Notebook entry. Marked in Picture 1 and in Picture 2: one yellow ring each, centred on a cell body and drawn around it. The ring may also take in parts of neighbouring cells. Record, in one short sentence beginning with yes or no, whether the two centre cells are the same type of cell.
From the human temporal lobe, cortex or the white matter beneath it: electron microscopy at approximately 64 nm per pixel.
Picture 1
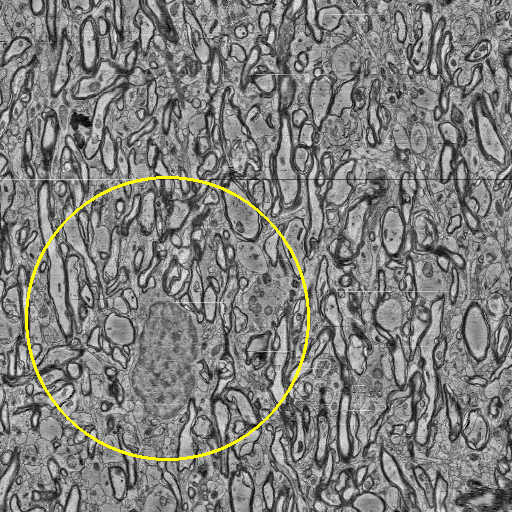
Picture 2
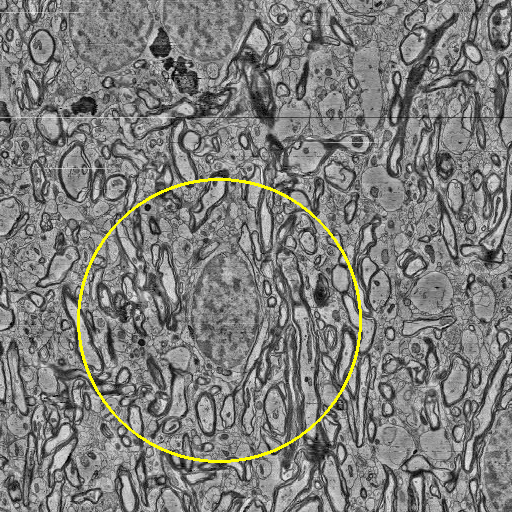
Yes, both are the same type of cell.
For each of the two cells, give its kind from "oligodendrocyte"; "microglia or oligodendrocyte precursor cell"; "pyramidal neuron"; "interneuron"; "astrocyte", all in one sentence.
In both pictures the ring is centred on an oligodendrocyte.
